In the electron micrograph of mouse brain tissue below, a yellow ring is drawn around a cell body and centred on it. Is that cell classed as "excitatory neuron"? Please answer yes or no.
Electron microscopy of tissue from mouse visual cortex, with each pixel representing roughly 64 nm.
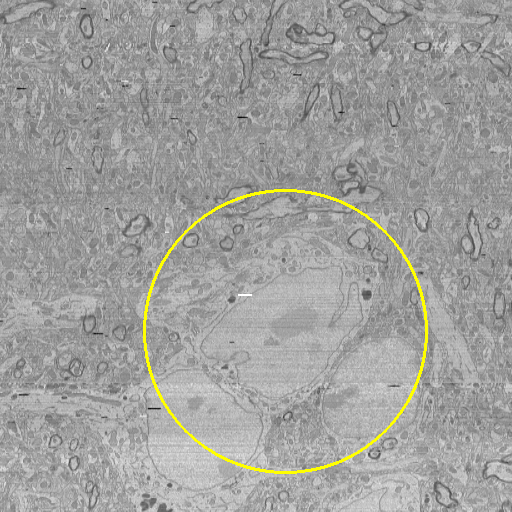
yes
